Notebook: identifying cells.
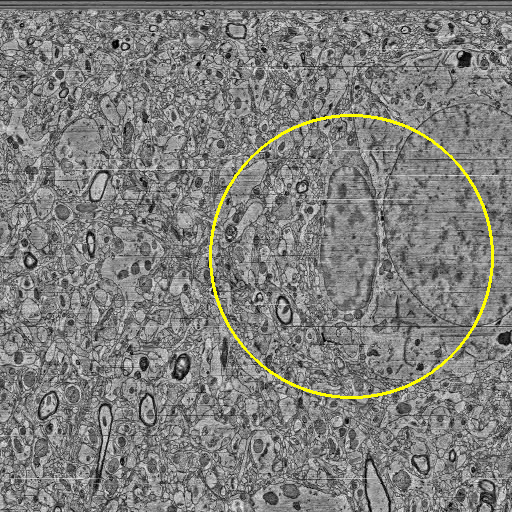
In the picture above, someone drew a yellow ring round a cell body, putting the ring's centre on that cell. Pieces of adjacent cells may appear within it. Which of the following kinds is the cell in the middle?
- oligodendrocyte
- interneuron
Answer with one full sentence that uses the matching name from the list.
In this picture, the yellow ring is centred on the body of an oligodendrocyte.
